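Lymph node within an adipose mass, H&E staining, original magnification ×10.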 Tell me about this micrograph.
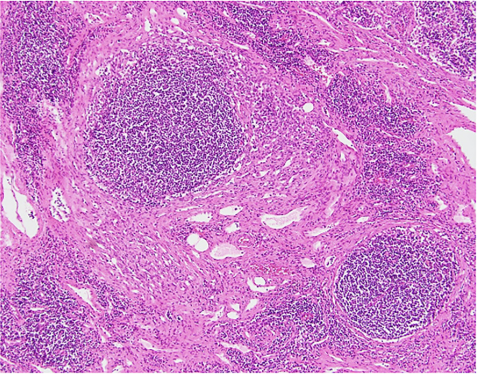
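Between and around them, pink fibrous stroma contains many spindle cells with elongated nuclei. Smaller collections of lymphoid cells lie at the edges, and a few small vascular spaces are scattered in the stroma.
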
